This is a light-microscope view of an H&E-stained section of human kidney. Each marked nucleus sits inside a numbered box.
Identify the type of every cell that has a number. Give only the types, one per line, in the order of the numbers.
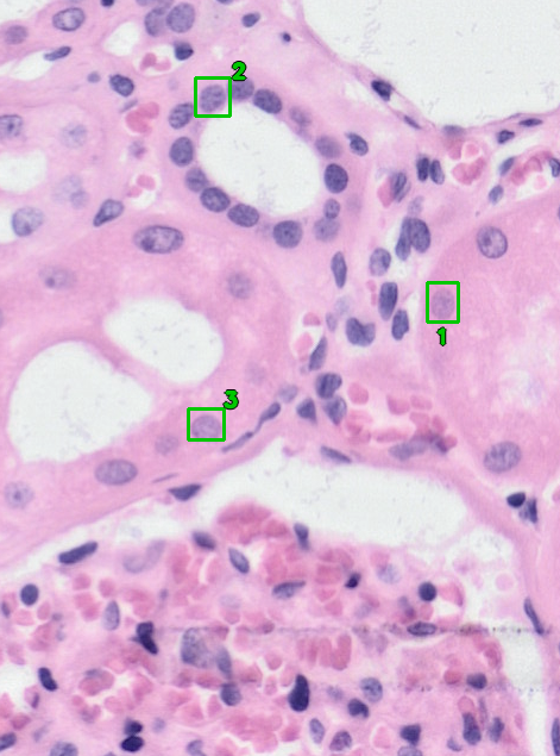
proximal tubule cell
collecting duct cell
proximal tubule cell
